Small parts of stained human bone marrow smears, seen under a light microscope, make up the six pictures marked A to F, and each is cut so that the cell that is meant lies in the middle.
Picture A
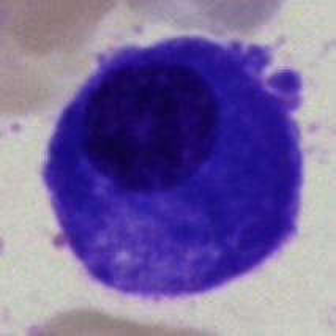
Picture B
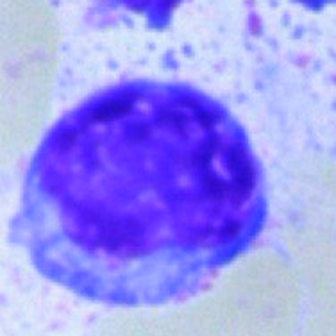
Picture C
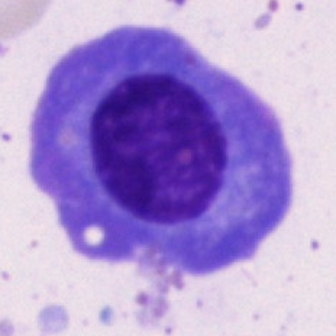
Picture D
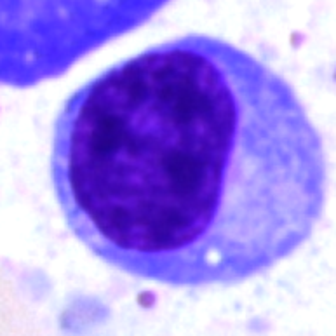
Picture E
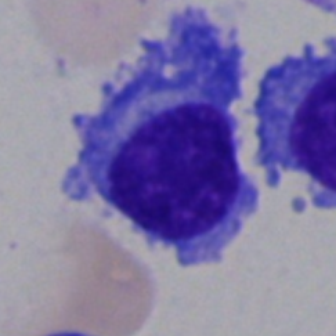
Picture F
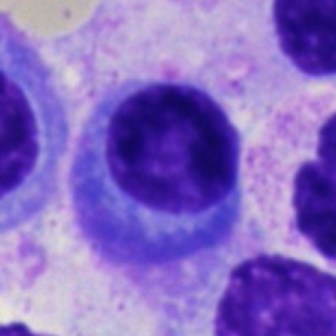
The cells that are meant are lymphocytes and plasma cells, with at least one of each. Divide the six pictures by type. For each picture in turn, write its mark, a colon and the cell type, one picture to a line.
A: plasma cell
B: lymphocyte
C: plasma cell
D: lymphocyte
E: plasma cell
F: plasma cell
